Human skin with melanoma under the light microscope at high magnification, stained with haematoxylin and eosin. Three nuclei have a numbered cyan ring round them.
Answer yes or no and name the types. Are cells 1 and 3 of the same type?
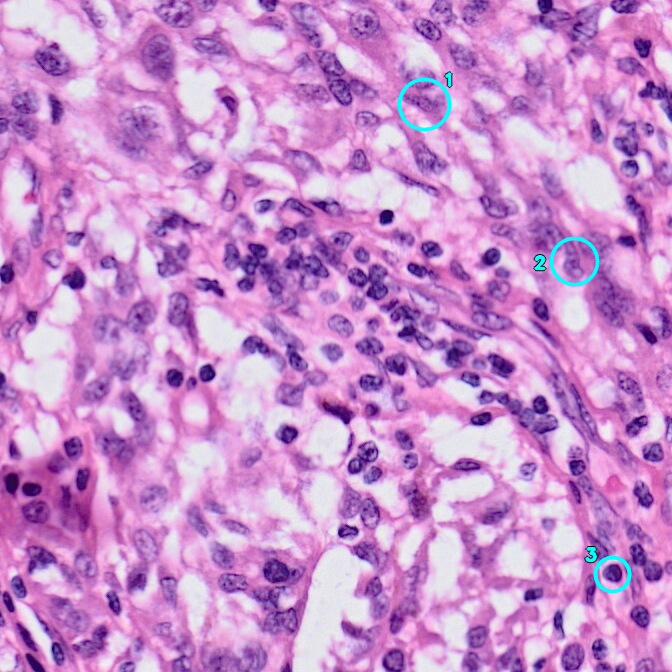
No, the cell bearing number 1 is a melanoma cell, while the one bearing number 3 is a lymphocyte.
